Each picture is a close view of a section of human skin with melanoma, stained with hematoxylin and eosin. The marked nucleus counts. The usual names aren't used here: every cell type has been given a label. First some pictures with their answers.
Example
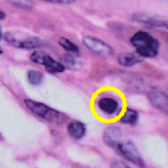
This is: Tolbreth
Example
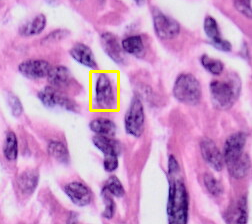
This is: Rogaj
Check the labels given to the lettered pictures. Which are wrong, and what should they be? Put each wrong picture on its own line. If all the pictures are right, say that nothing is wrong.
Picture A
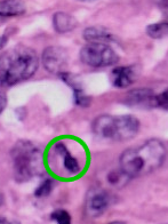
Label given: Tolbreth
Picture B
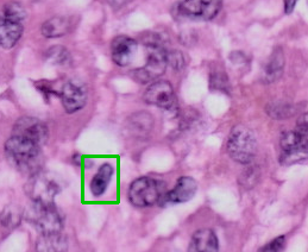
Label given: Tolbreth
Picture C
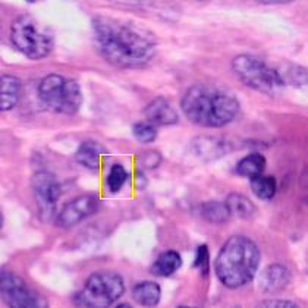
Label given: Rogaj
C: not Rogaj but Tolbreth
